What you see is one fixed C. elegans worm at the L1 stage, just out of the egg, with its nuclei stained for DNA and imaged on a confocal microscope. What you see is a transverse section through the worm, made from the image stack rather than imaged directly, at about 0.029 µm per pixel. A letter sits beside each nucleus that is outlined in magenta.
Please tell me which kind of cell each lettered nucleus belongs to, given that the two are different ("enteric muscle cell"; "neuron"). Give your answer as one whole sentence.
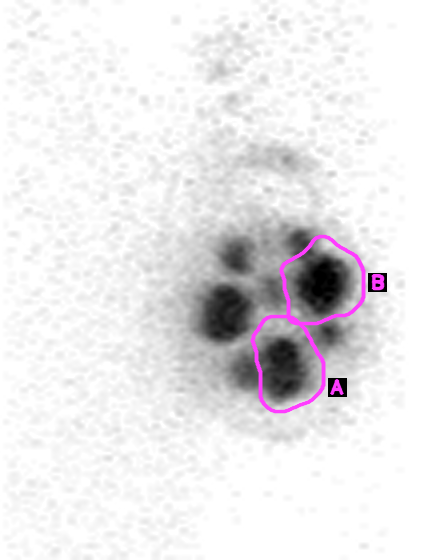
A is the nucleus of an enteric muscle cell; B is the nucleus of a neuron.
